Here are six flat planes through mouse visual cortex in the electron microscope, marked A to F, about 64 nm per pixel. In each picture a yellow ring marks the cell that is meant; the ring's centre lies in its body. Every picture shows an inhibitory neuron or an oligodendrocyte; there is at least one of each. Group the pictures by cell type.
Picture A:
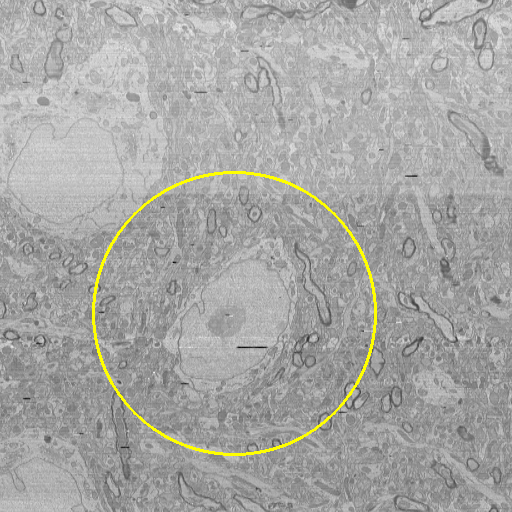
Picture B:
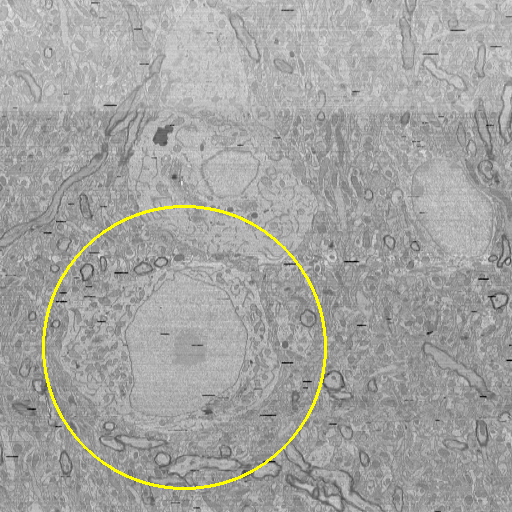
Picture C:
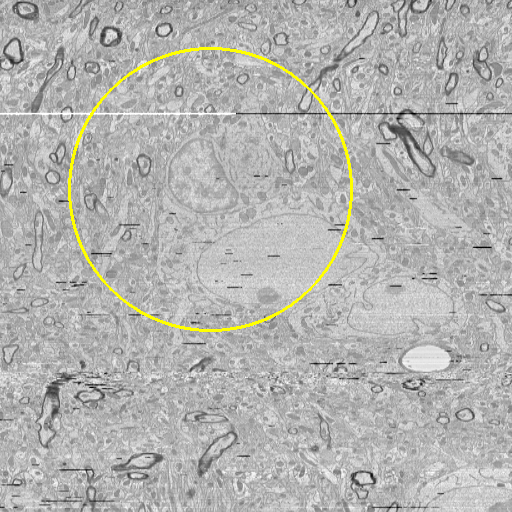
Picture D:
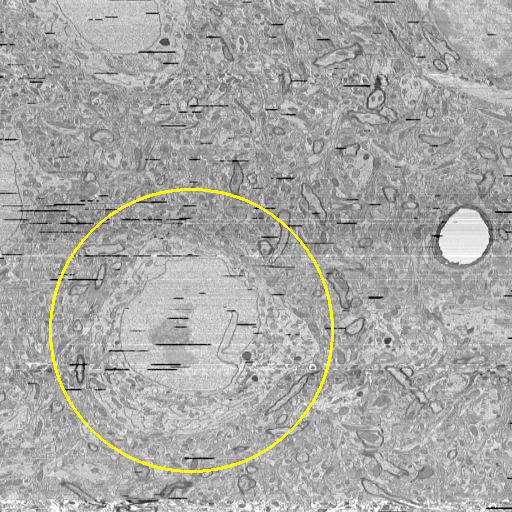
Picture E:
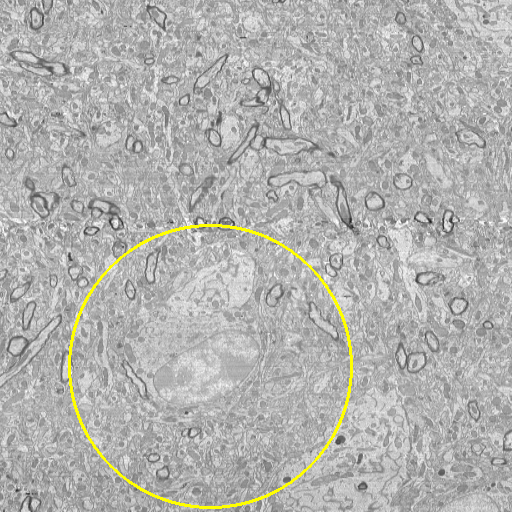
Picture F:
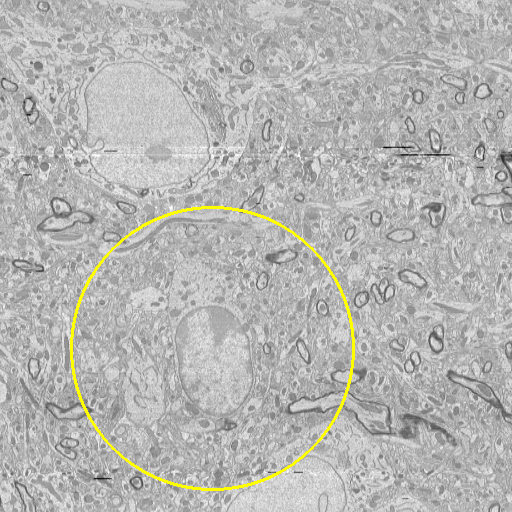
Pictures A, B and D show inhibitory neurons; pictures C, E and F show oligodendrocytes.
